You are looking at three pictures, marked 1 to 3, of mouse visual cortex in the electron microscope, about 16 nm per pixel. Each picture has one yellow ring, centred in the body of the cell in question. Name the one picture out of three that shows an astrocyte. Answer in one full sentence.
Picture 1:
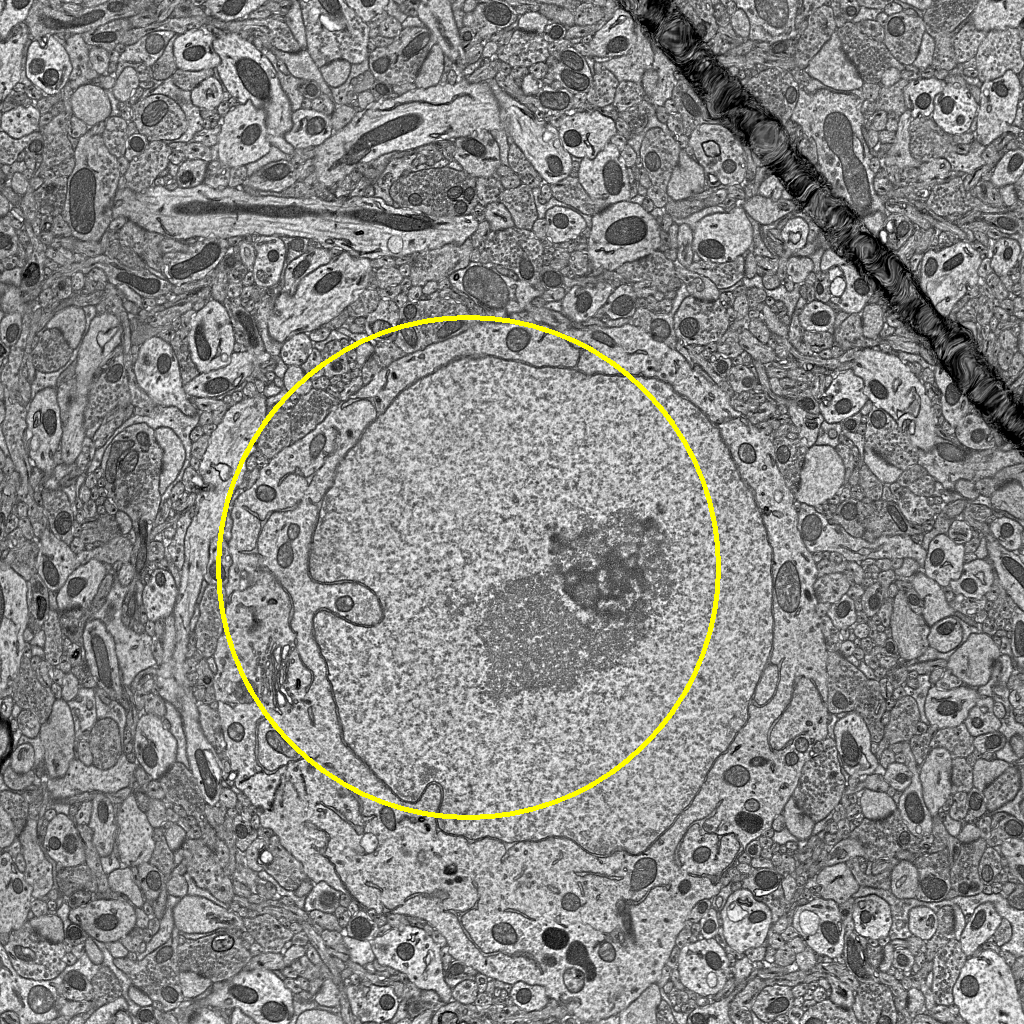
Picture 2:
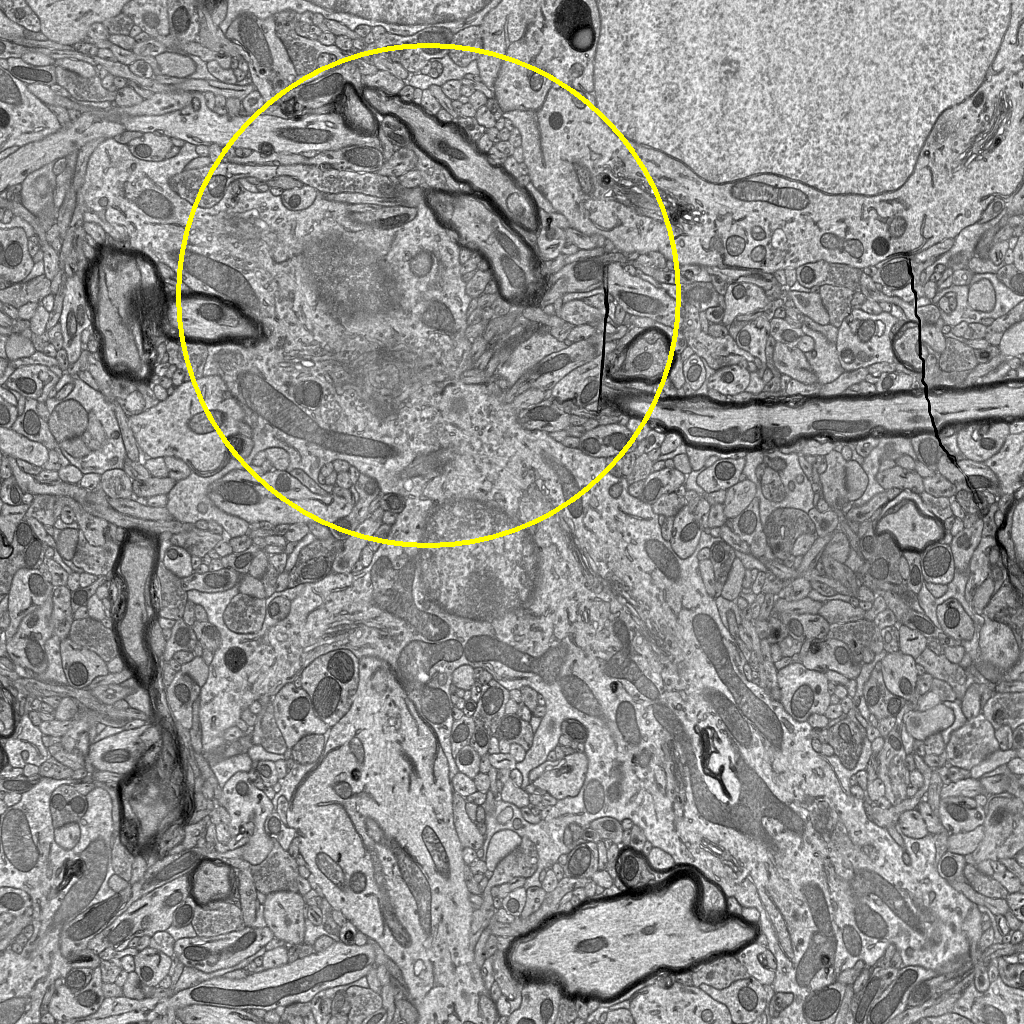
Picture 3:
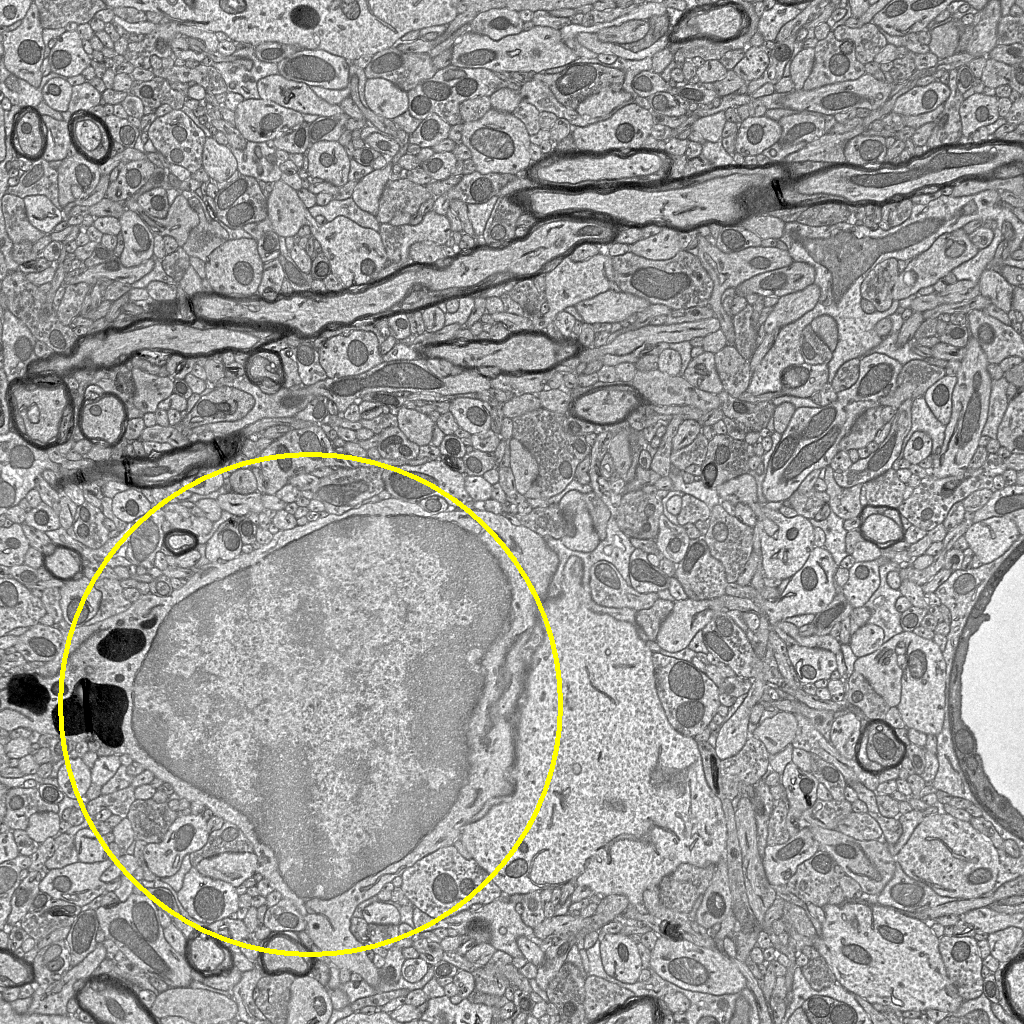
Picture 2 is the one that shows the astrocyte.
